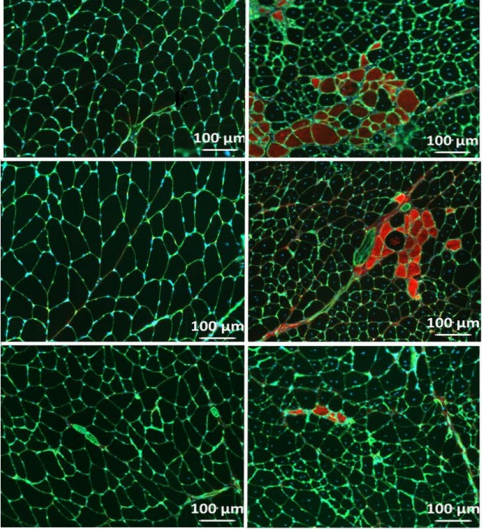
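The images show cross-sectioned muscle fibres, each outlined by a thin green rim, which gives the tissue a honeycomb look. In the left-hand column, the fibre interiors are dark and the green outlines are regular. In the right-hand column, groups of fibres are filled with red, and these fibres are clustered together rather than scattered.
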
